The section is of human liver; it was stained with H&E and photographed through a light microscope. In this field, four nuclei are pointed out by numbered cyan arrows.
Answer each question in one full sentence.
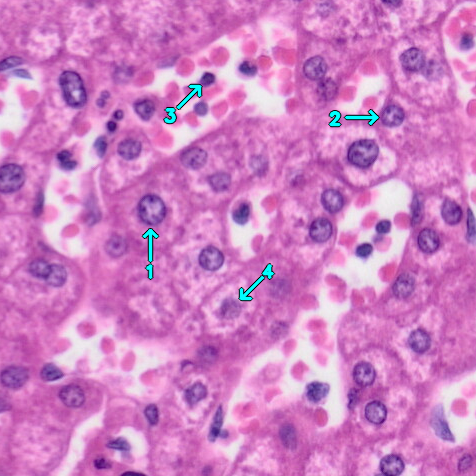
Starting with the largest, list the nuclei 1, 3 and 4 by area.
Going from the biggest nucleus down to the smallest gives 1, 4, 3.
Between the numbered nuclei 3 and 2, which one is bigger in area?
The larger nucleus is 2, at roughly 2 times the area of 3.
